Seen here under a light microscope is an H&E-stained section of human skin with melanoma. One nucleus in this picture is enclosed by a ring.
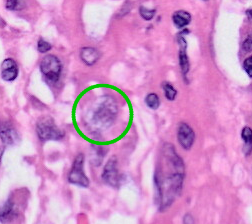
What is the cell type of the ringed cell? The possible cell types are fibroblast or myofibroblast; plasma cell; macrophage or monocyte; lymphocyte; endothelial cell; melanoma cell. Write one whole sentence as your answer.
The category to which the ringed cell belongs is that of a melanoma cell.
